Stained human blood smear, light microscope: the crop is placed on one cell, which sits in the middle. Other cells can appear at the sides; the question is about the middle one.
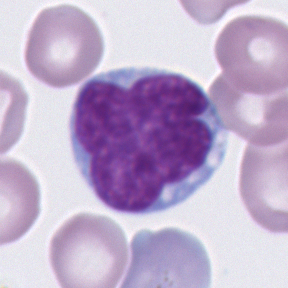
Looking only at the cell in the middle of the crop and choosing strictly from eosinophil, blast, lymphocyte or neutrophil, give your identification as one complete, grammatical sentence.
The cell sitting right in the middle is a blast.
